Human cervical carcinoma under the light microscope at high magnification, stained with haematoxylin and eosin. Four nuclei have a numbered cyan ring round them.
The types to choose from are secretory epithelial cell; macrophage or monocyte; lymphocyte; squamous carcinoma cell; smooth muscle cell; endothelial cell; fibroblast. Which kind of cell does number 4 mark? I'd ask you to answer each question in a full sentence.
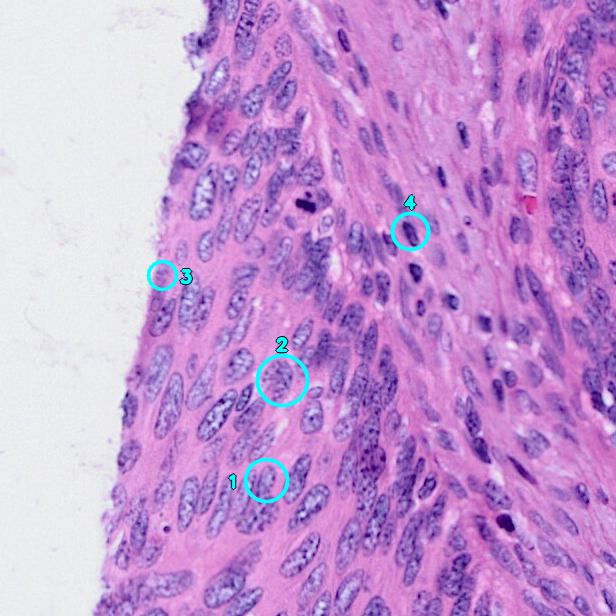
The cell pointed out as number 4 is a lymphocyte.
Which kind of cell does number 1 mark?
The correct label for cell 1 is a squamous carcinoma cell.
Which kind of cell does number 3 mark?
The cell identified by number 3 is a squamous carcinoma cell.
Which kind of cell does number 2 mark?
It is as a squamous carcinoma cell that the cell numbered 2 is identified.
